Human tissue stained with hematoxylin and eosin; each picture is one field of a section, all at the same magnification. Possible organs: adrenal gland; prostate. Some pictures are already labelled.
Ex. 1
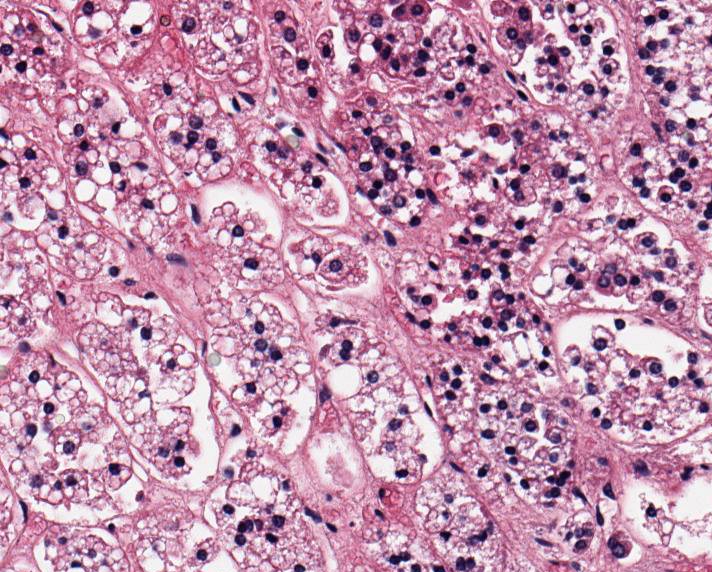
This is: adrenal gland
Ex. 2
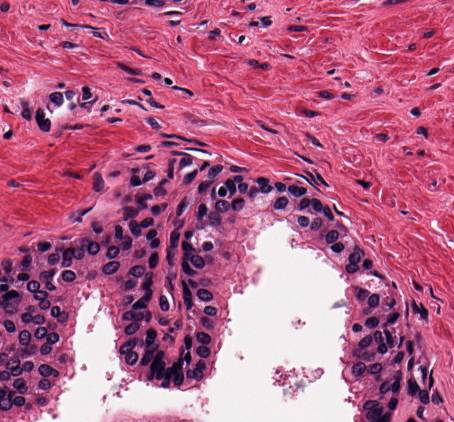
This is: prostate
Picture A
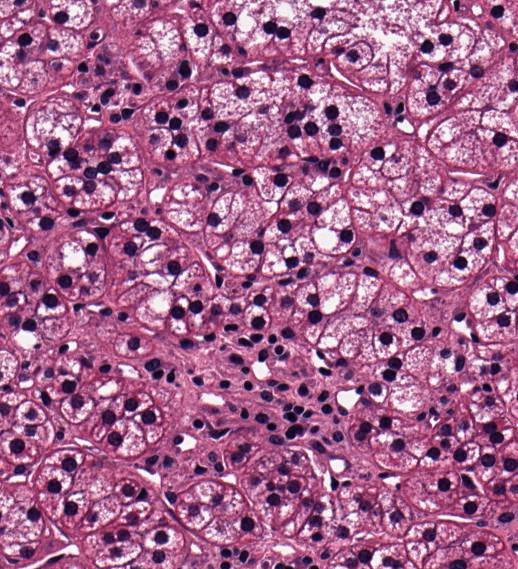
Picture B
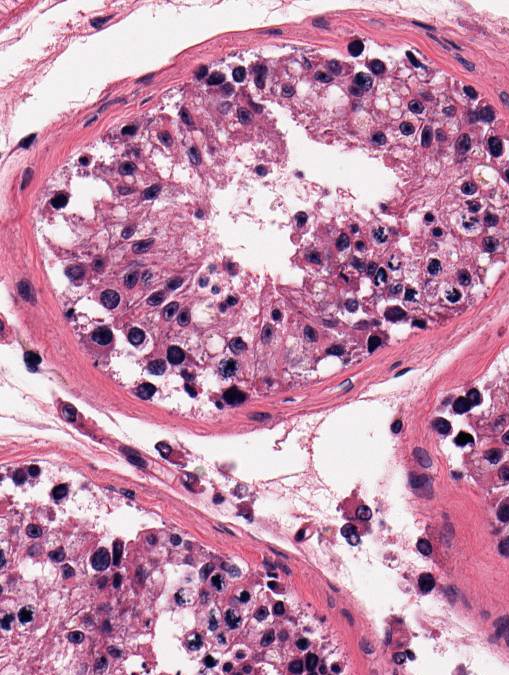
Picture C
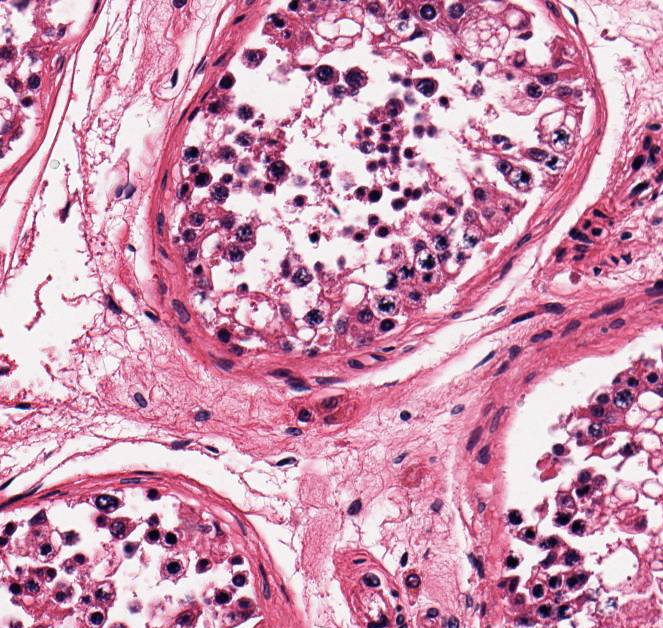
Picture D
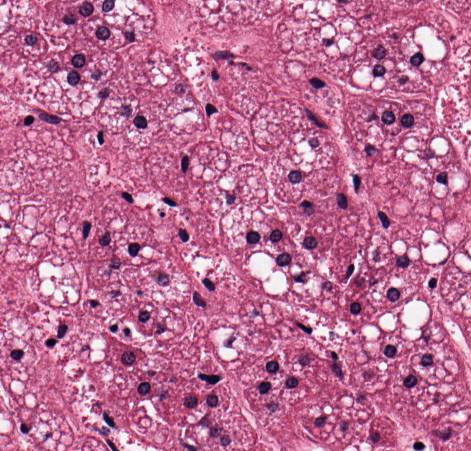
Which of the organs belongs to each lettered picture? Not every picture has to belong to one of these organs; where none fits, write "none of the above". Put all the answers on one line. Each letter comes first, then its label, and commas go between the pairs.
A adrenal gland, B none of the above, C none of the above, D adrenal gland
